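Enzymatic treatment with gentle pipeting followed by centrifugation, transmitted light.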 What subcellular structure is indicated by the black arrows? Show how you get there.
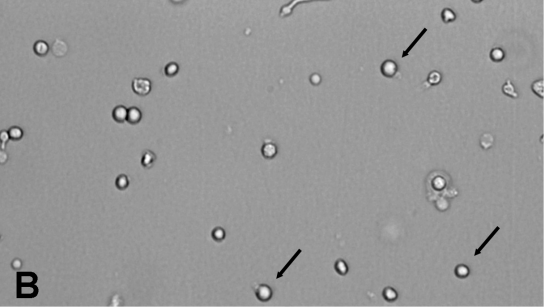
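The arrowed objects are small round refractile bodies. No long process is attached to the arrowed bodies.
Hence: cell bodies.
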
